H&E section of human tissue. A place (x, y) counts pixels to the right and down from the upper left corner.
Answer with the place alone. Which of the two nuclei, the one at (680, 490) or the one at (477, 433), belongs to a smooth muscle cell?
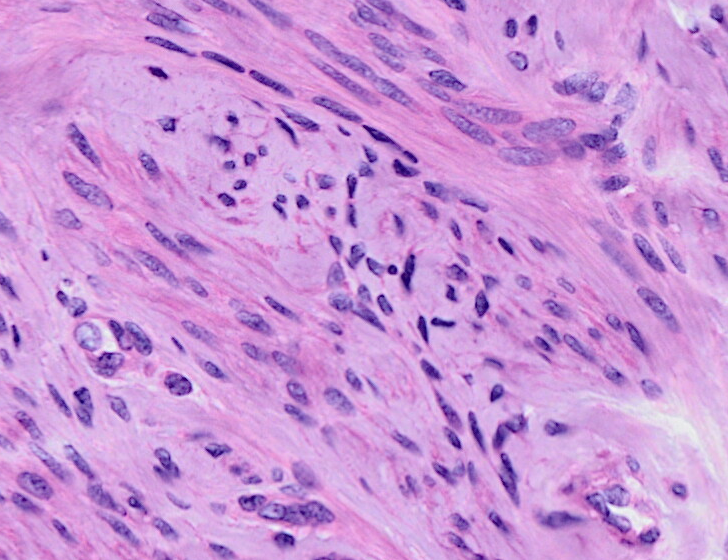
(680, 490)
